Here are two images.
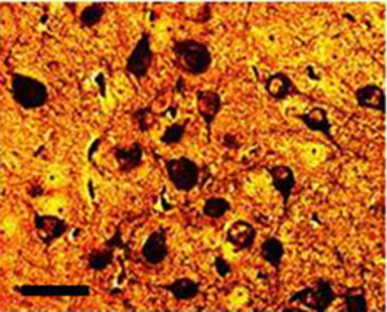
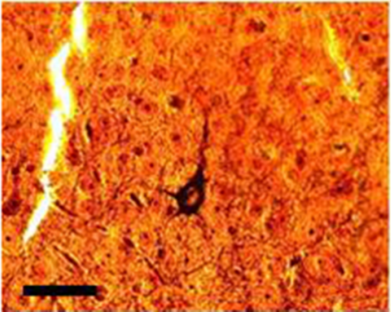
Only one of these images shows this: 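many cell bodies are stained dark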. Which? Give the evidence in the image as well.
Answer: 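The first image. Second image: only a single cell body is stained dark against the orange tissue. First image: dozens of cell bodies are stained dark brown to black throughout the field.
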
